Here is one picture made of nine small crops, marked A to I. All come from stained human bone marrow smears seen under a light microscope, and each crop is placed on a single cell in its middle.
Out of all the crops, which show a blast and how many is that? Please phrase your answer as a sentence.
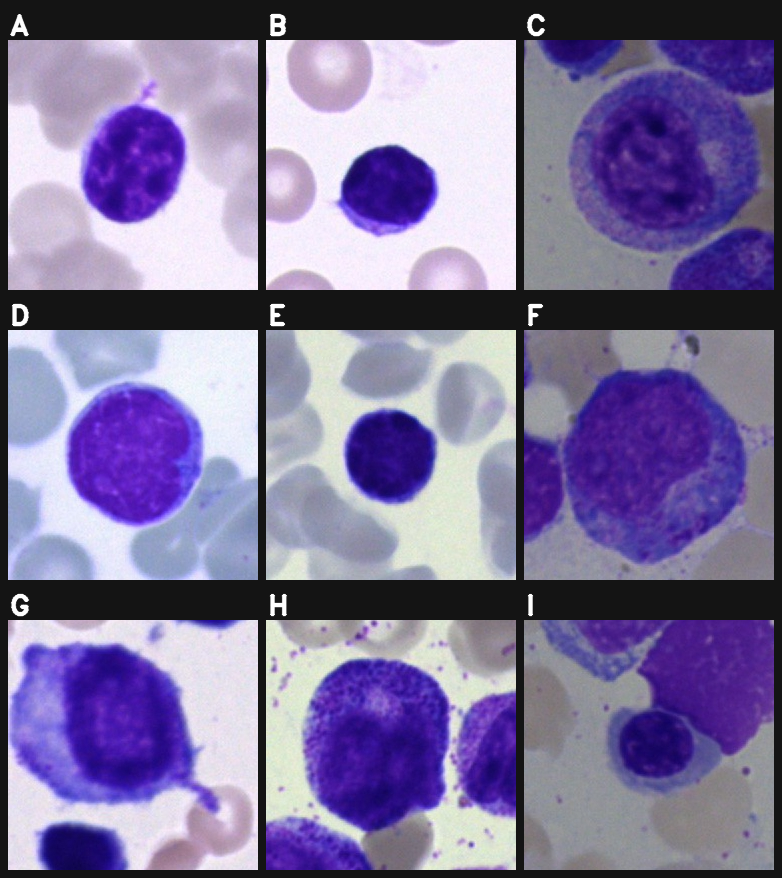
Every crop lacks blasts, so the count is zero.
